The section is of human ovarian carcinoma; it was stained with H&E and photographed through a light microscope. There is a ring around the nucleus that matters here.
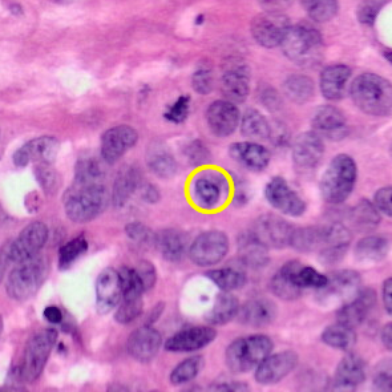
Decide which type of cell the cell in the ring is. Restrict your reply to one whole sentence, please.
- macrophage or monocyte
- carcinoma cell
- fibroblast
It is as a macrophage or monocyte that the cell in the ring is recorded.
